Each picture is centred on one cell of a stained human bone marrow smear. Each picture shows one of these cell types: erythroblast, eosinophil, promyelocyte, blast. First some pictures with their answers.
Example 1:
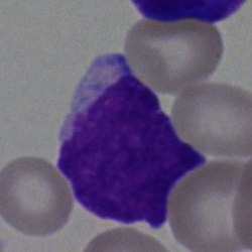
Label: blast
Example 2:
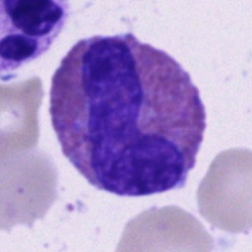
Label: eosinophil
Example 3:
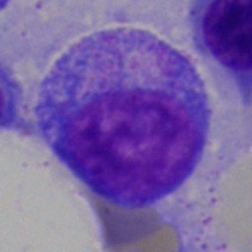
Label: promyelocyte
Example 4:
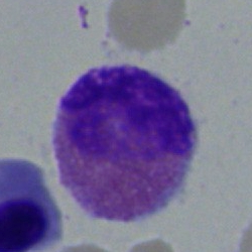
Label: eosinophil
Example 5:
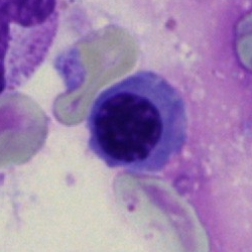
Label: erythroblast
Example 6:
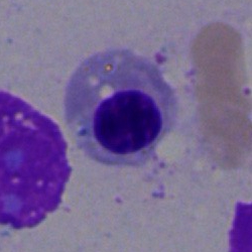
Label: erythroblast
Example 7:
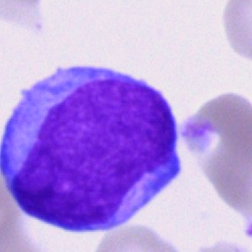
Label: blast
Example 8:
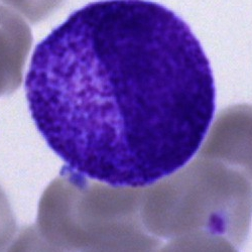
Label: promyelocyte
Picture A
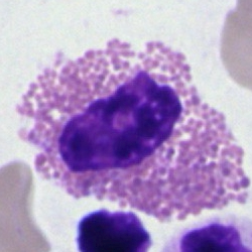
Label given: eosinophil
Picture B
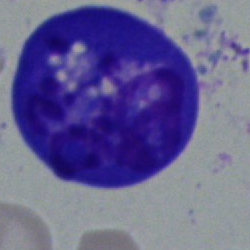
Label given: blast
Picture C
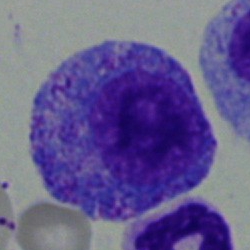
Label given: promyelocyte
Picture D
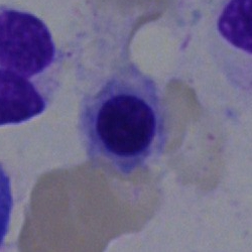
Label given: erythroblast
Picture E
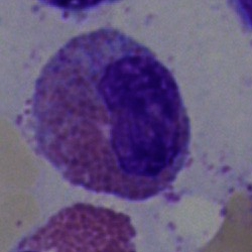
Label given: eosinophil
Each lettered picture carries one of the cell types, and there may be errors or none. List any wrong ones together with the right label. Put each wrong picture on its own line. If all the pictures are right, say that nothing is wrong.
Nothing to fix; every label fits.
